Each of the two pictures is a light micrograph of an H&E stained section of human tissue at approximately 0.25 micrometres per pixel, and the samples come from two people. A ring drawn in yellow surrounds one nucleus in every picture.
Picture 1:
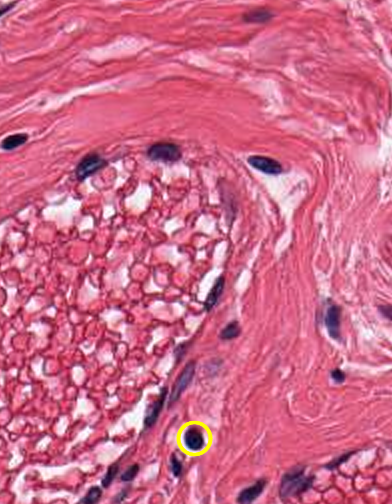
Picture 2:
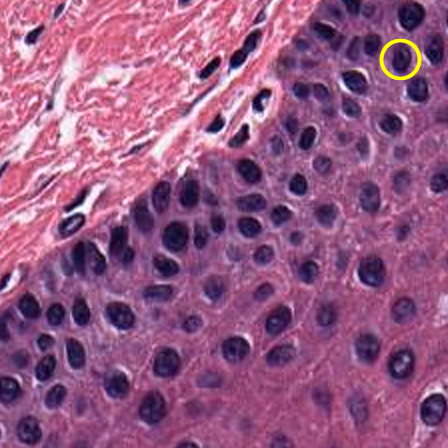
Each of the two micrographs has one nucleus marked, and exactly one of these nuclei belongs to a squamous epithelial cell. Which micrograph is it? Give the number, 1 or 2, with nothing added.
2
